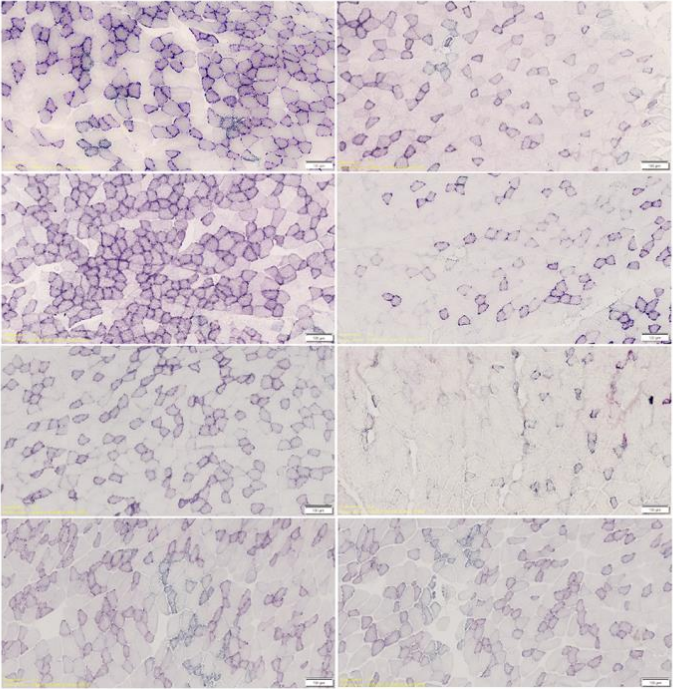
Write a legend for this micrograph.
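These are cross-sections of skeletal muscle fibers in eight fields, each showing polygonal fiber profiles packed in a mosaic. Some fibers take up a dark purple, granular stain that is strongest along their borders, others take a paler purple, and many are pale grey with little or no stain. The dark and pale fibers are intermixed, and the proportion of darkly stained fibers differs from field to field, with some fields dominated by pale fibers.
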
